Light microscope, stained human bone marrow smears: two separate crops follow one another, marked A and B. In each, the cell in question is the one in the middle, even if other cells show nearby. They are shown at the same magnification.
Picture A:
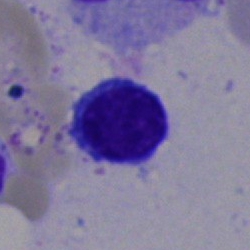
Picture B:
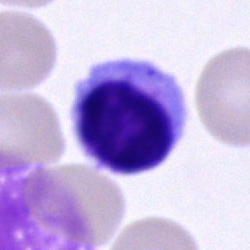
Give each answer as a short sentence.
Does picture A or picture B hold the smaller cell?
Smaller is the cell in picture A, and the other is about 1.5 times as large in area.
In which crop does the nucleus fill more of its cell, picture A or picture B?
The nucleus fills more of the cell in picture A than in picture B.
